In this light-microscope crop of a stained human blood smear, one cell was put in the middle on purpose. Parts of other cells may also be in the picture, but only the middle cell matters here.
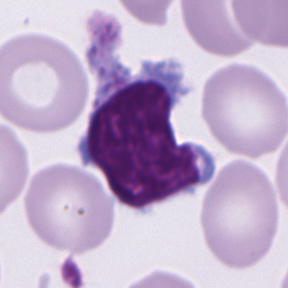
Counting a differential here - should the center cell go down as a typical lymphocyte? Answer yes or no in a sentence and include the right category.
Yes, within this crop, the central cell is a typical lymphocyte.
